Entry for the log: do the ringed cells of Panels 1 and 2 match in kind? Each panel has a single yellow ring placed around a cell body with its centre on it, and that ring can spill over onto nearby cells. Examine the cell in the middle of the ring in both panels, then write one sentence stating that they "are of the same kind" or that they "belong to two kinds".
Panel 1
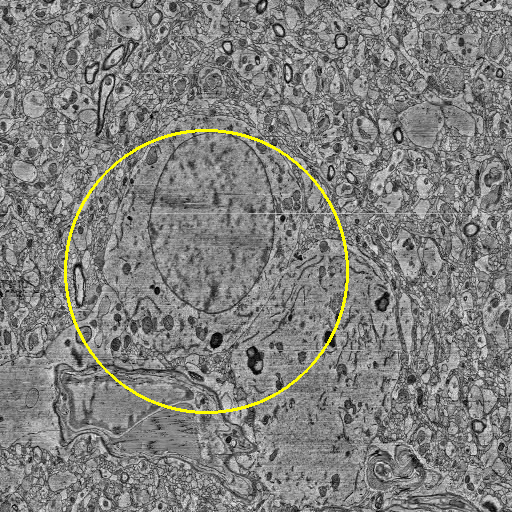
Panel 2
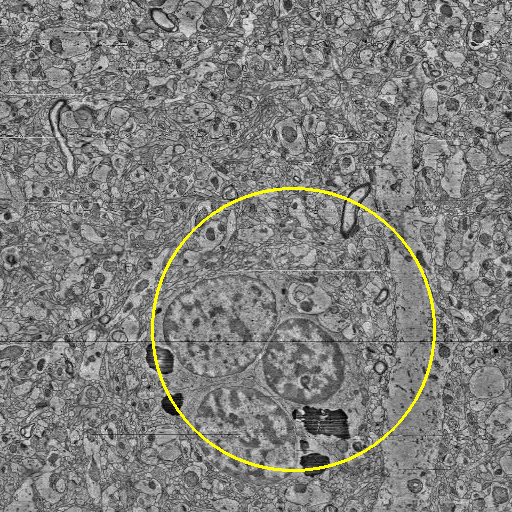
The centre cell of Panel 1's ring and that of Panel 2's ring belong to two kinds.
